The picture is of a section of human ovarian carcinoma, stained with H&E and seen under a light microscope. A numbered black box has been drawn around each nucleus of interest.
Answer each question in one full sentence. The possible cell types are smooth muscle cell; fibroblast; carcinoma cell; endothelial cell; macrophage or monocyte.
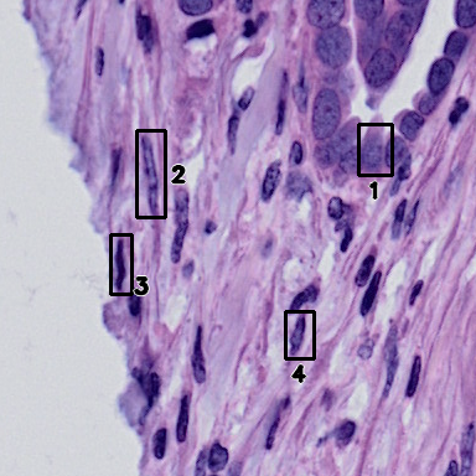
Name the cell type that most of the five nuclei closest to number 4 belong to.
Around number 4, most of the five nearest nuclei are those of macrophages or monocytes.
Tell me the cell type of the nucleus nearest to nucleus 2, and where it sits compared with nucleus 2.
It is a fibroblast, whose nucleus lies to the left of nucleus 2.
